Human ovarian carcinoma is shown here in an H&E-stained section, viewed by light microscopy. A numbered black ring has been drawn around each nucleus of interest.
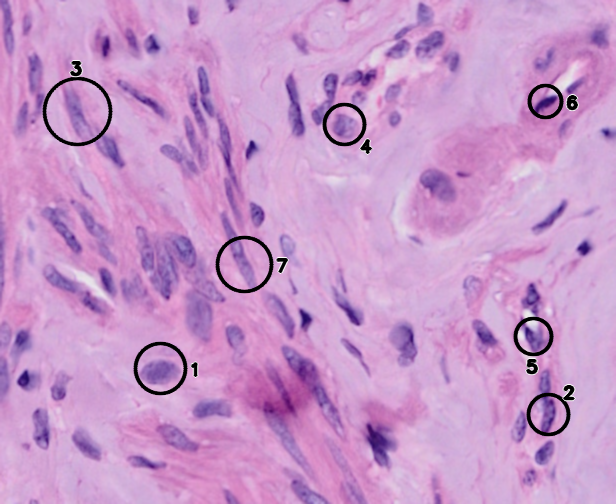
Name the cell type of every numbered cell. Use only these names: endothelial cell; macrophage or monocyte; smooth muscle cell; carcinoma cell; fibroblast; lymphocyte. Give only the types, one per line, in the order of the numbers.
fibroblast
endothelial cell
smooth muscle cell
endothelial cell
endothelial cell
endothelial cell
smooth muscle cell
